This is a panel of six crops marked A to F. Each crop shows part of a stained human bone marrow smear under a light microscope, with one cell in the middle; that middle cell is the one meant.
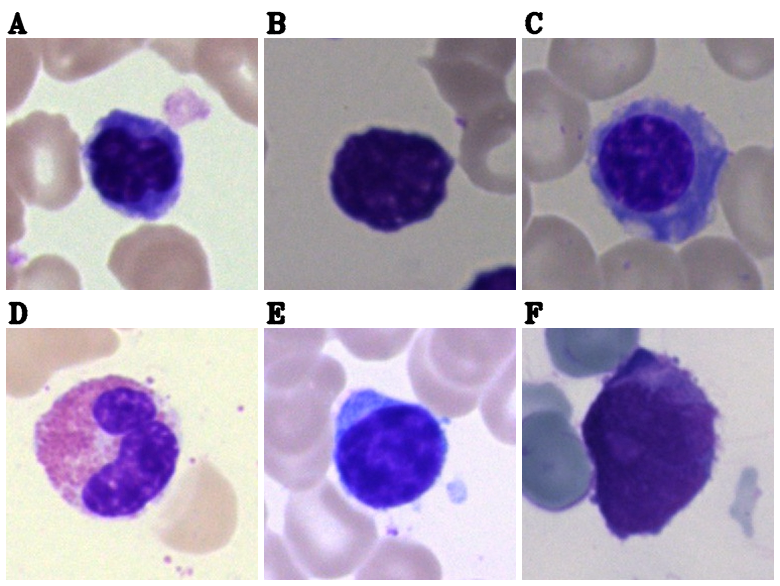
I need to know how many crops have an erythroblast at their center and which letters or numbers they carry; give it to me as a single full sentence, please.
On review, two crops show erythroblasts, and they are A and C.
